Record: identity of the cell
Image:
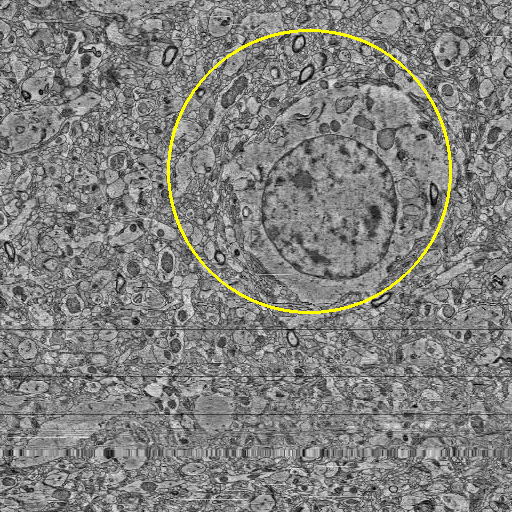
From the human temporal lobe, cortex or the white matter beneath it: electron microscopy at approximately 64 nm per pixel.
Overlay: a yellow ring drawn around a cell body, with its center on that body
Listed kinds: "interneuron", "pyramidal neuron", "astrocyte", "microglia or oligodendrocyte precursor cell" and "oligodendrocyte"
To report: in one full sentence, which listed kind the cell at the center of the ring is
In the image, the cell body at the ring's center belongs to an astrocyte.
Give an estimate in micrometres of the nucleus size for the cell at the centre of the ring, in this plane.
About 9 micrometres across, as seen in this plane.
